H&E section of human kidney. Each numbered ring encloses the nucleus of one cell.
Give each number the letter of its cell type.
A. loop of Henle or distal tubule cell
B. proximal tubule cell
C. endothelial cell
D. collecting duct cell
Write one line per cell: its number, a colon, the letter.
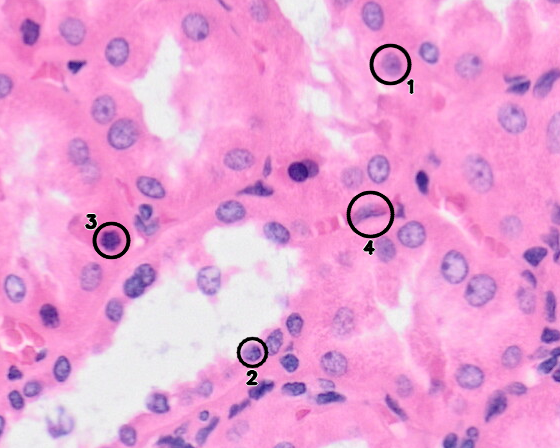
1: B
2: A
3: B
4: C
